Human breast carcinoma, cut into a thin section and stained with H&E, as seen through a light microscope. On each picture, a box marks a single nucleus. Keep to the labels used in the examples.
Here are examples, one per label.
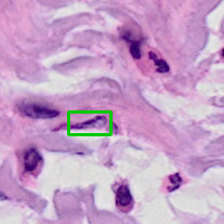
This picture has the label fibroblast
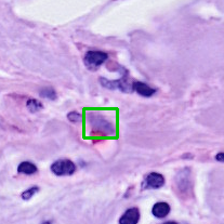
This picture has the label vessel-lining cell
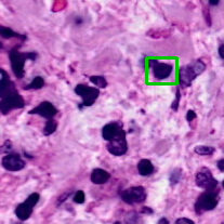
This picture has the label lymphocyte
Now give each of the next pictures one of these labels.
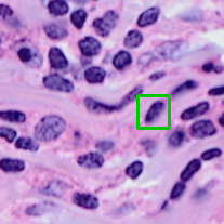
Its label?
lymphocyte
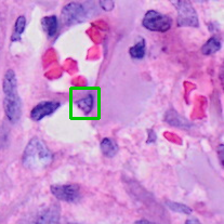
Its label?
vessel-lining cell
